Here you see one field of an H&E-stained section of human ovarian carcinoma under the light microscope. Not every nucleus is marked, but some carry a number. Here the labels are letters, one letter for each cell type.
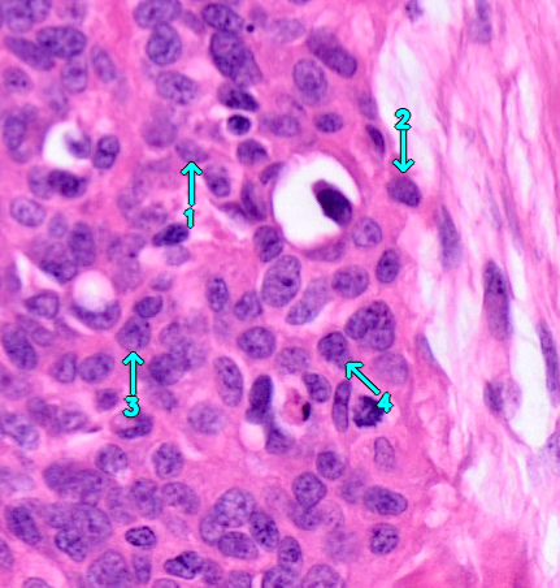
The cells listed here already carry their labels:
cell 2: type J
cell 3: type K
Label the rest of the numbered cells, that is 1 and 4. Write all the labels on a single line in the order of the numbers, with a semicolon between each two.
type K; type K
